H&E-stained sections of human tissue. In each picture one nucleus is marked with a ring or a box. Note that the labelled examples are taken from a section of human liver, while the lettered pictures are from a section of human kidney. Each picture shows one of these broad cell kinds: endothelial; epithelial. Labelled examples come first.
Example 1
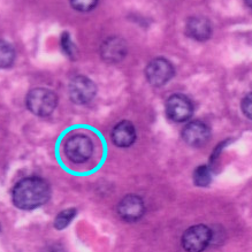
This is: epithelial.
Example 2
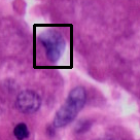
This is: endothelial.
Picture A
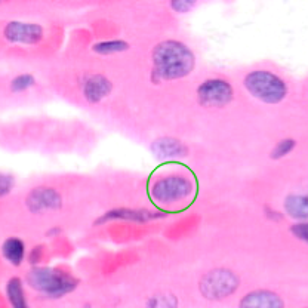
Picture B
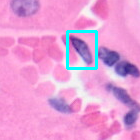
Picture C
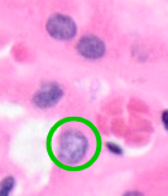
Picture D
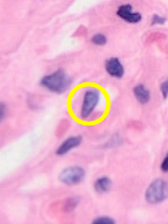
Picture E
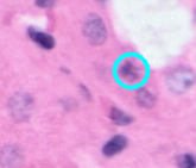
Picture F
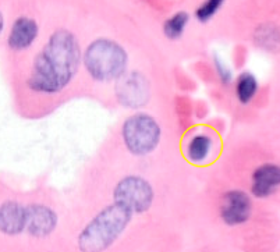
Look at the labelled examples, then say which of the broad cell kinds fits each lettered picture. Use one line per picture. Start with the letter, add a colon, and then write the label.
A: epithelial.
B: endothelial.
C: epithelial.
D: endothelial.
E: epithelial.
F: endothelial.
